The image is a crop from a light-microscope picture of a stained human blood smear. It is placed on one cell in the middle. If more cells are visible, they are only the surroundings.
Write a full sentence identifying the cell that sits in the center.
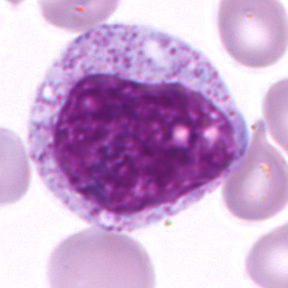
The cell nearest the centre of this crop is a myelocyte.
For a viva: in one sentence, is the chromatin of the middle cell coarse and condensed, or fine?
Check the chromatin: it is fine and not coarsely clumped.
